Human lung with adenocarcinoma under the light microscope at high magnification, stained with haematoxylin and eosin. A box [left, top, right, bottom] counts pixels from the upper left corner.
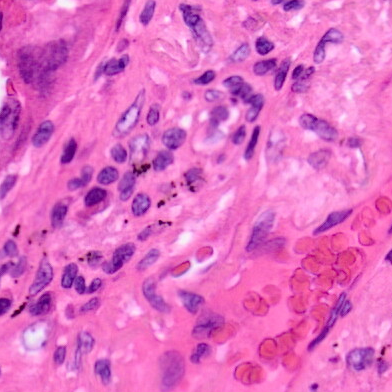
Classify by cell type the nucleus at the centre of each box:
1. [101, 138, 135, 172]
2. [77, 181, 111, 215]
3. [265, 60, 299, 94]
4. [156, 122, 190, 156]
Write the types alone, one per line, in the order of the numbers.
lymphocyte
plasma cell
lymphocyte
lymphocyte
